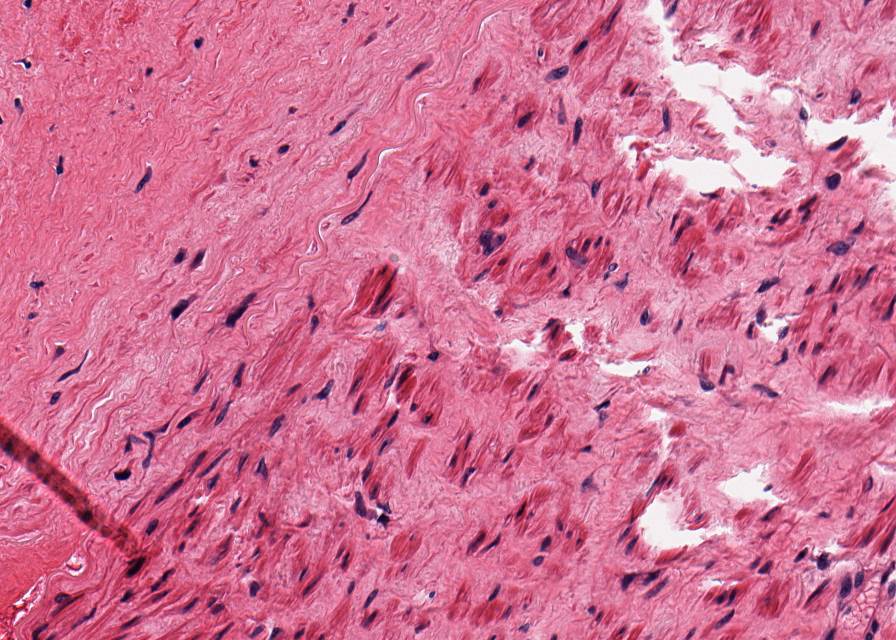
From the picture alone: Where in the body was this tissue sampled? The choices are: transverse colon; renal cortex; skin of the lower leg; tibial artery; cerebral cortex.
tibial artery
